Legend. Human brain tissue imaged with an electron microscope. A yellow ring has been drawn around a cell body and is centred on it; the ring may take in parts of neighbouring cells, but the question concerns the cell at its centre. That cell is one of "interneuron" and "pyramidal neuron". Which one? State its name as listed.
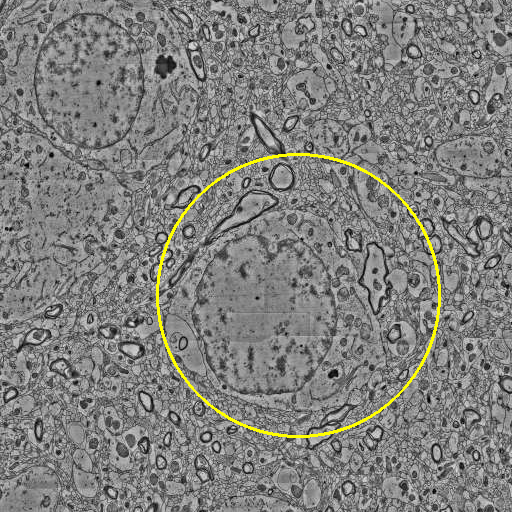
interneuron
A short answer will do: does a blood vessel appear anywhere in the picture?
No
